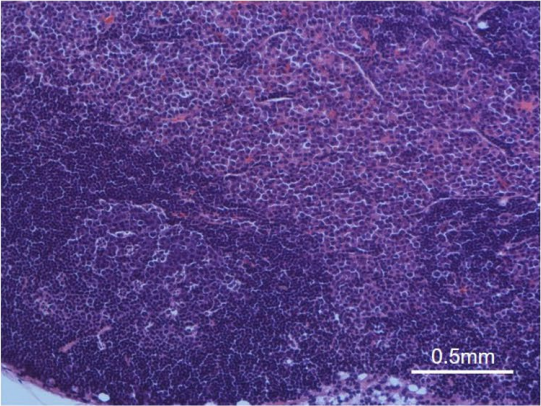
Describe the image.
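Lymph node with preserved architecture, made up almost entirely of densely packed small lymphocytes with round, dark purple nuclei and scant cytoplasm. Darker, more tightly packed bands alternate with paler zones where the cells lie more loosely and small vessels with red cells run through. A thin capsule lines the tissue at the lower edge. No nests of large foreign cells are seen.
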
